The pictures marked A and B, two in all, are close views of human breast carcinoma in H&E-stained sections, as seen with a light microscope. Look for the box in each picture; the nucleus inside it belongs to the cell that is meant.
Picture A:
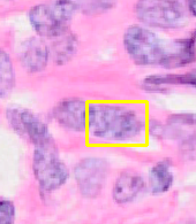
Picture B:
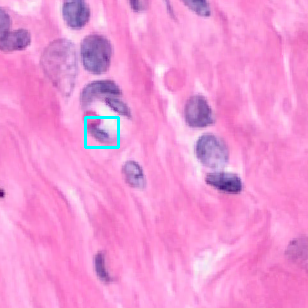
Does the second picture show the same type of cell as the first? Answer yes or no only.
no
